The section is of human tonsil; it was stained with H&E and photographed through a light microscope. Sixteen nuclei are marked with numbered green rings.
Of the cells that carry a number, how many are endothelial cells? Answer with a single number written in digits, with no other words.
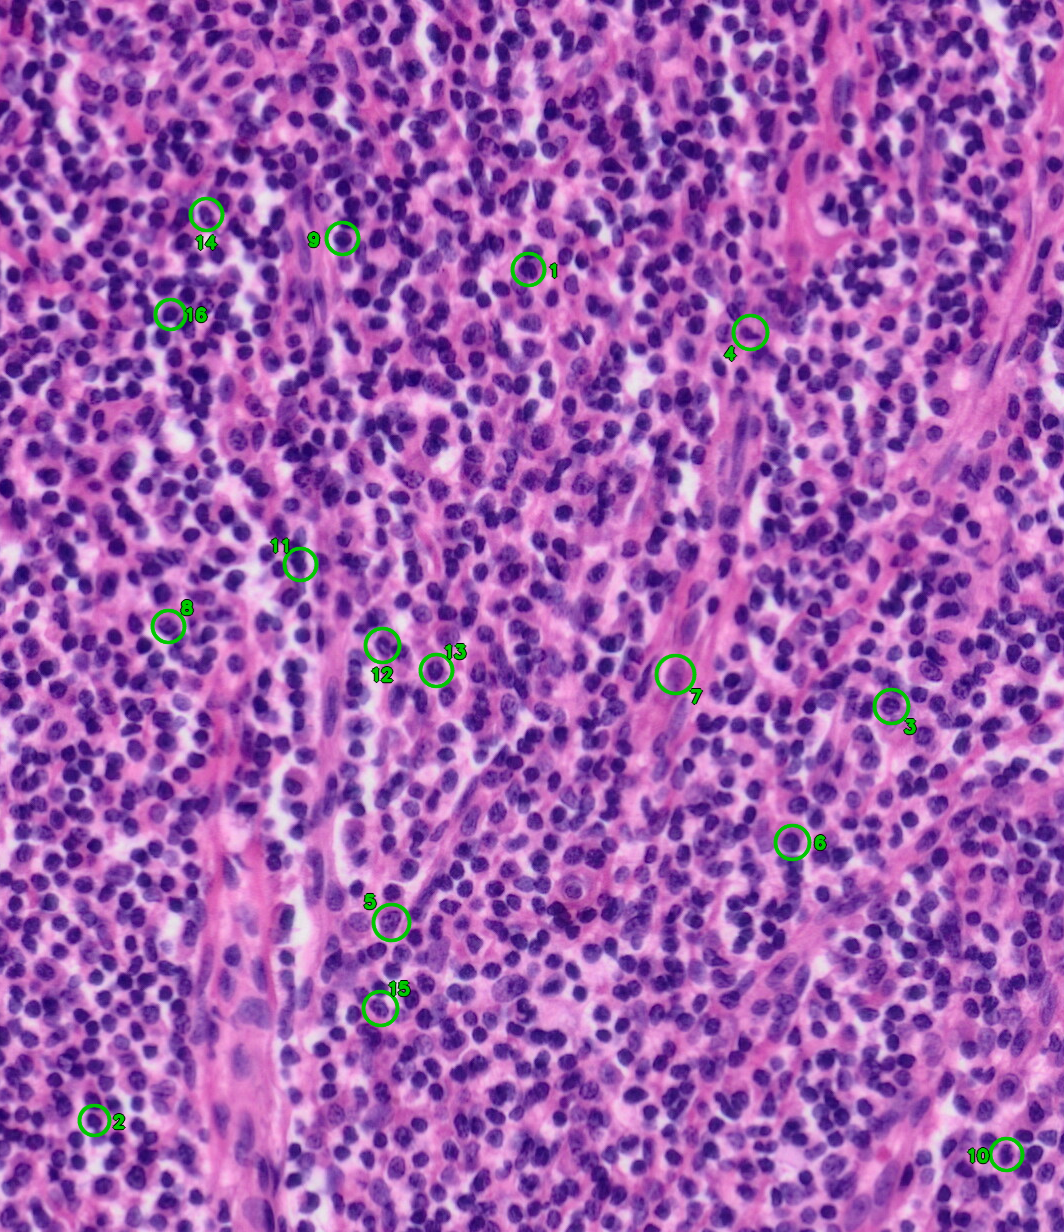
2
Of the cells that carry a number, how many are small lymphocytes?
7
